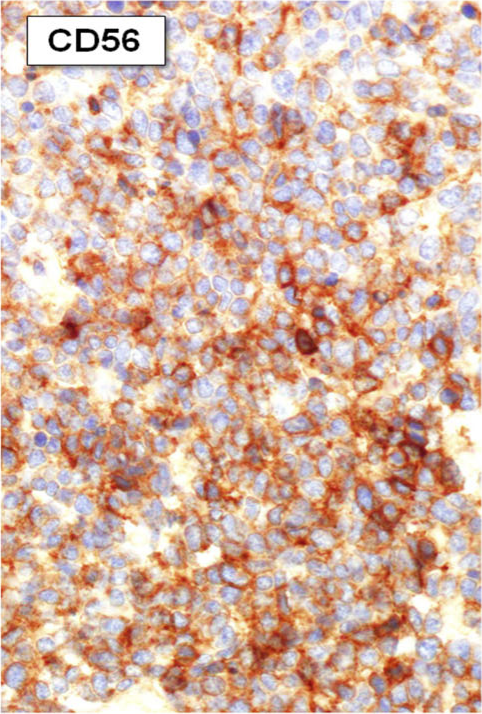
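Tumor made of a solid, patternless sheet of small to medium cells, crowded together with no glands or stroma in view. Nuclei are round to oval, pale blue with fine chromatin, some with small nucleoli, and they overlap in places. Cytoplasm is scant, so nuclei fill most of each cell. Brown stain lies along the cell borders in a lacy membranous pattern throughout nearly the whole field, darker in patches, leaving the nuclei blue. A few small clear spaces break up the sheet.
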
